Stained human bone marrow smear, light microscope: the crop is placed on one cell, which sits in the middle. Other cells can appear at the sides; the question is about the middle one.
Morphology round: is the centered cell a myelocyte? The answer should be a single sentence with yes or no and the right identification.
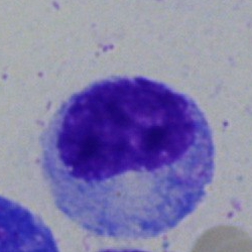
Yes, the cell at the midpoint of the crop is a myelocyte.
